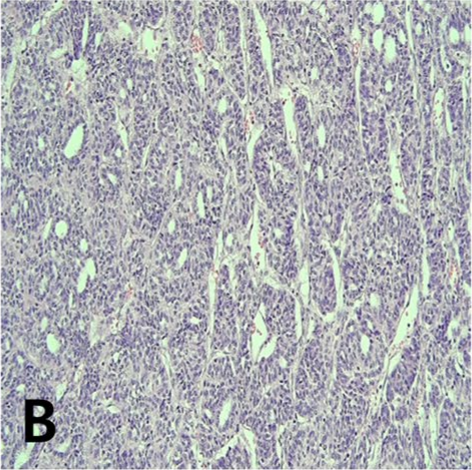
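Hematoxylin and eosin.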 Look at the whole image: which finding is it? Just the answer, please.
Trabecular, insular, and solid growth pattern.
